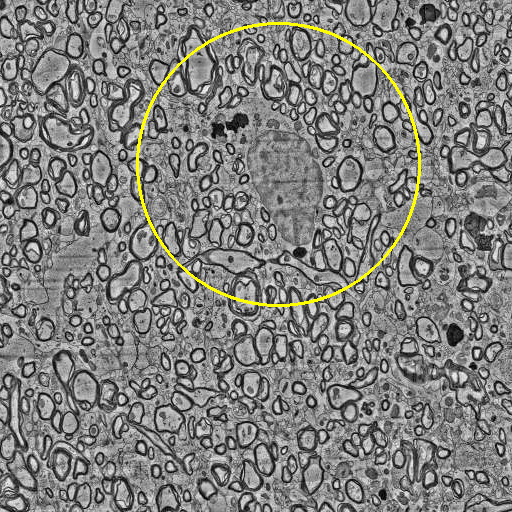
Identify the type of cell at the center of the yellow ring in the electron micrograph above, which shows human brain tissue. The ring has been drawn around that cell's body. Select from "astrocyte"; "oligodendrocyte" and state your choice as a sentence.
The yellow ring is centered on the body of an oligodendrocyte.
